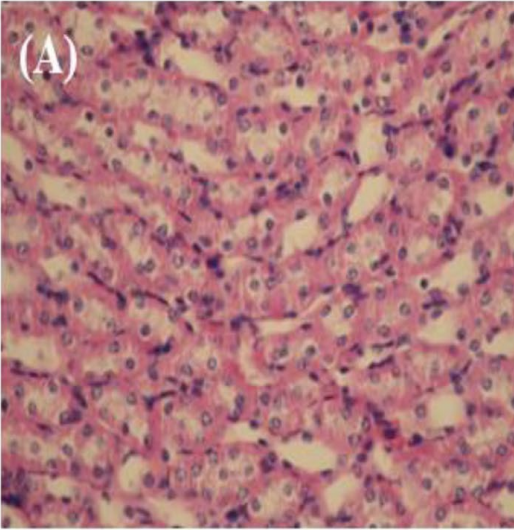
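This is kidney tissue at fairly high magnification, made up of closely packed renal tubules lined by cuboidal epithelial cells. The cells have round, centrally placed nuclei and pink cytoplasm, and the tubules surround open, clear lumens. Between the tubules run thin strips of interstitium with dark, elongated nuclei.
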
